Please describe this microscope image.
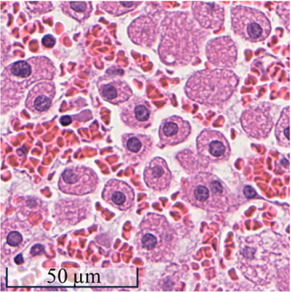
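Liver with hepatocytes separated and rounded, no longer forming orderly cords. Each hepatocyte has pale pink to lilac granular cytoplasm and a round purple nucleus, often with a distinct nucleolus. Numerous bright red blood cells are packed into the spaces between and around the hepatocytes, surrounding many of them. Sinusoidal outlines are obscured by the crowded red cells. Some hepatocytes appear swollen with paler cytoplasm than normal.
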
